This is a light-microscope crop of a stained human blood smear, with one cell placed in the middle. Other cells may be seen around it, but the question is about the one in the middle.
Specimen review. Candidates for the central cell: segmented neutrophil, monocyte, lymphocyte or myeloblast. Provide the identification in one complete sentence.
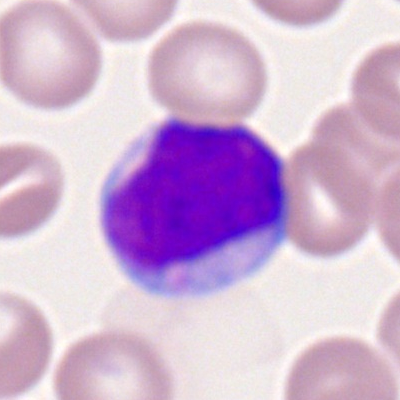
The single cell at the center of the crop is a myeloblast.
